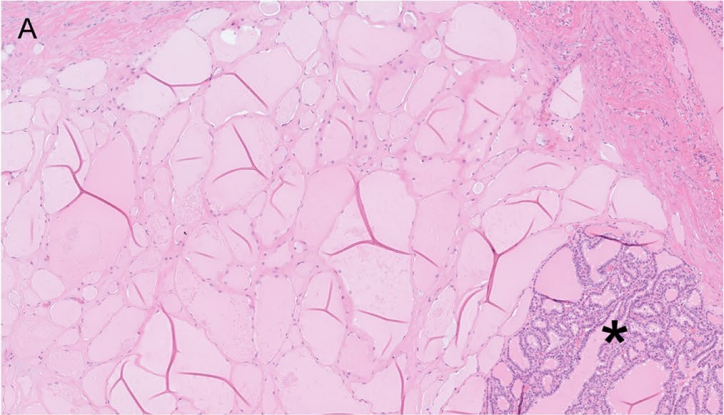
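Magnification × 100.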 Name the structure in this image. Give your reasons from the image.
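Macrofollicular architecture. Most of the field is filled by large follicles. The follicles contain abundant pink colloid with cracks.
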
